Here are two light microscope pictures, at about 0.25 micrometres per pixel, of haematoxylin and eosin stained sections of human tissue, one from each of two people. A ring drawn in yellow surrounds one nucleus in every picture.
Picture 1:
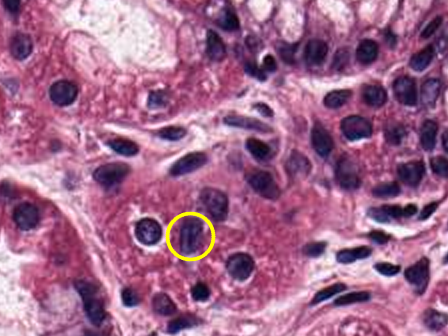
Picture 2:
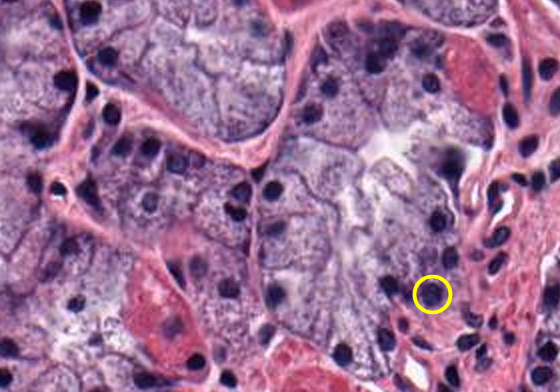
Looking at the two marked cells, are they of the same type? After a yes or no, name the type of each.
No, the first is a parietal cell and the second a chief cell.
